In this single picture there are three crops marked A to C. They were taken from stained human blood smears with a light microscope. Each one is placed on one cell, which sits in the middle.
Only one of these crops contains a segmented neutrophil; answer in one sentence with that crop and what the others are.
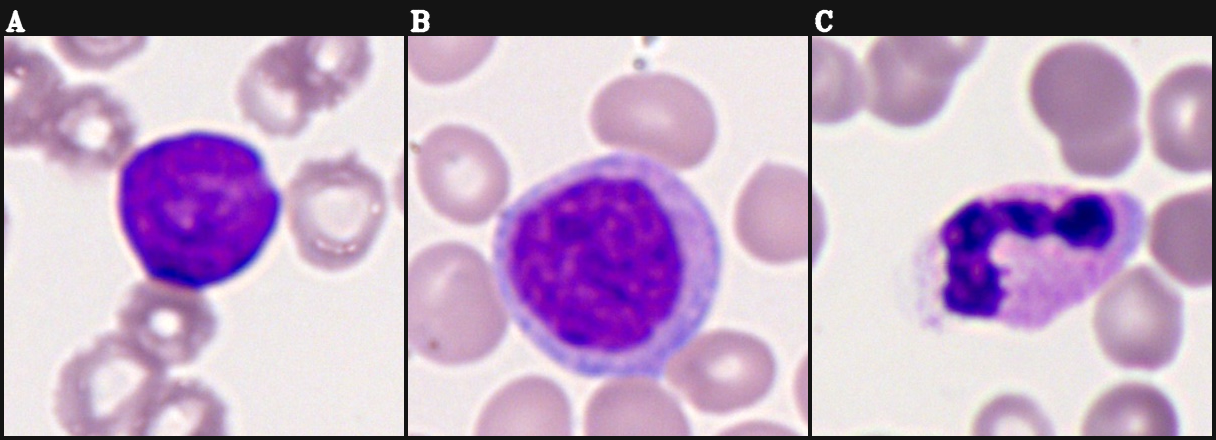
Crop C is where a segmented neutrophil is shown, whereas crop A is a myeloblast and crop B is a monocyte.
